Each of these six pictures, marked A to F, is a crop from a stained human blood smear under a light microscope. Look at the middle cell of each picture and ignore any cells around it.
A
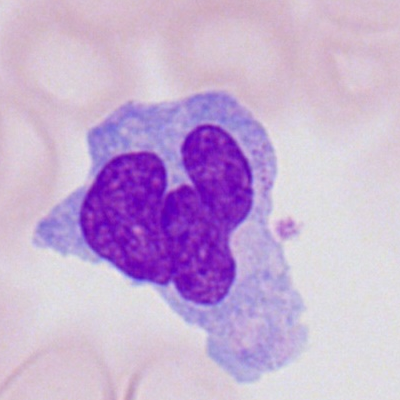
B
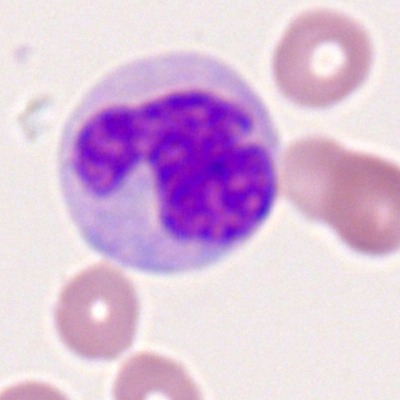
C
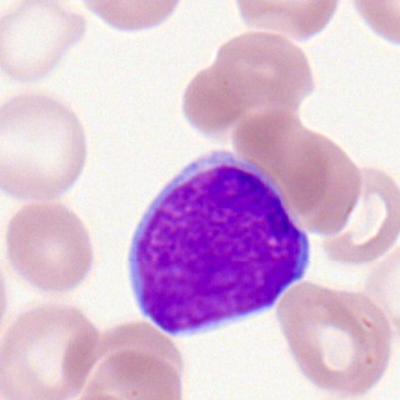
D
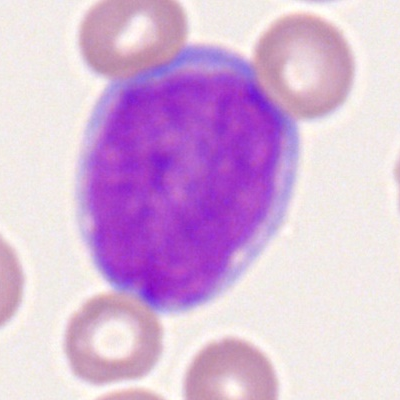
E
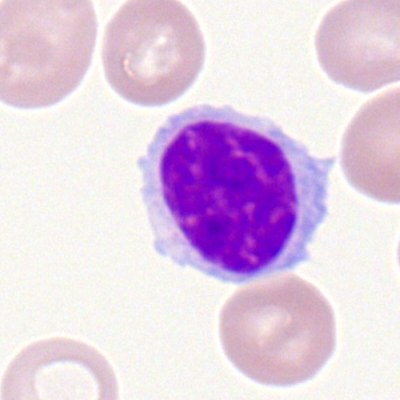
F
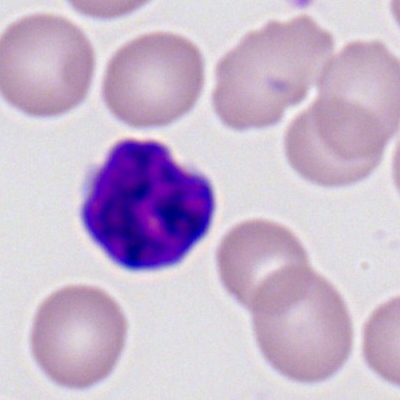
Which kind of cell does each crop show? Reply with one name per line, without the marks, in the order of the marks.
monocyte
monocyte
myeloblast
myeloblast
lymphocyte
lymphocyte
